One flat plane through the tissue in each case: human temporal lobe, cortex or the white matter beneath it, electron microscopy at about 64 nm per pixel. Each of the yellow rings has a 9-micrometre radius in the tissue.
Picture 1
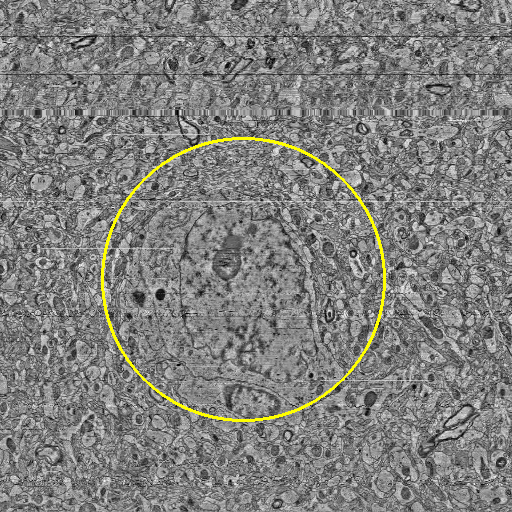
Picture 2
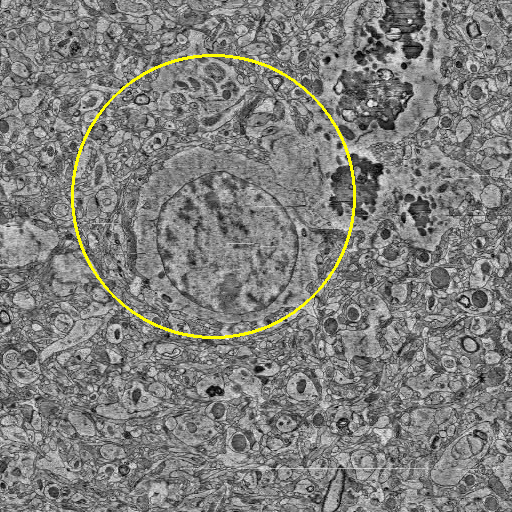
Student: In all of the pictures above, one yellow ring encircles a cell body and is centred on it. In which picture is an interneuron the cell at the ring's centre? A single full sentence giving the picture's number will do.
Picture number 1 has the wanted cell right at the centre of its ring.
